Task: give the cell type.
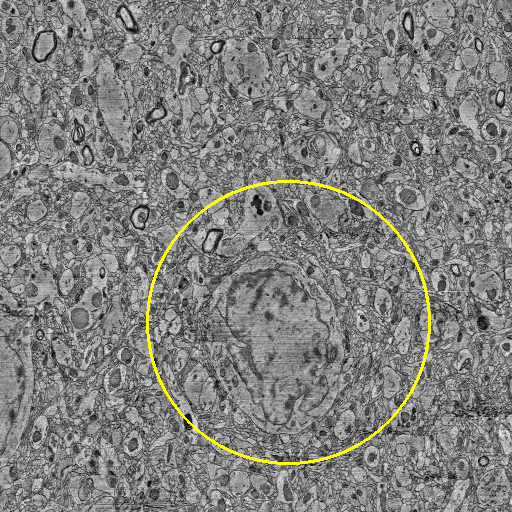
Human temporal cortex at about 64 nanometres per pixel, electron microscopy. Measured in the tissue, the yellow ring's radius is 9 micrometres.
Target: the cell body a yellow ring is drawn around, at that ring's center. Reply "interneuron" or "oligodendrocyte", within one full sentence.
In this picture, the cell whose body lies at the ring's center is an interneuron.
